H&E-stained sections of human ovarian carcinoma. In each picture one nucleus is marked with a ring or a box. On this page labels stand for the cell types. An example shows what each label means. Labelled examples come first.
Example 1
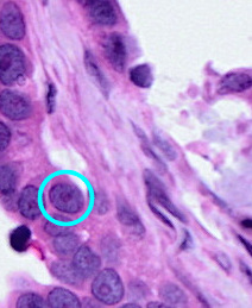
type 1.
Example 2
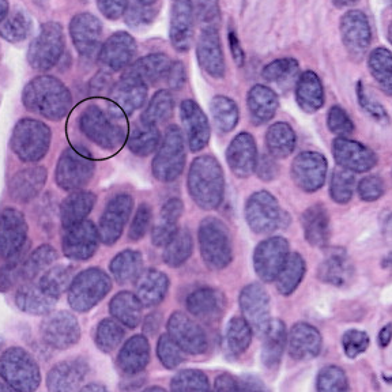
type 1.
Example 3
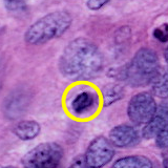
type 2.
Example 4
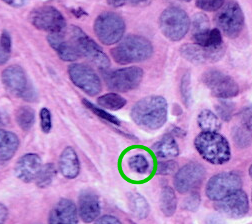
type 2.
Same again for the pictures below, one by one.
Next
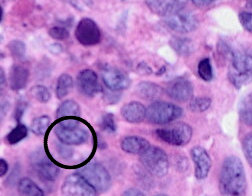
type 1.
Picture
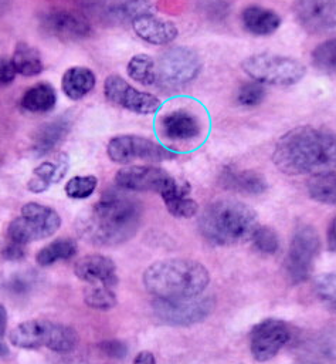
type 2.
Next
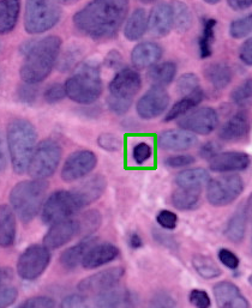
type 2.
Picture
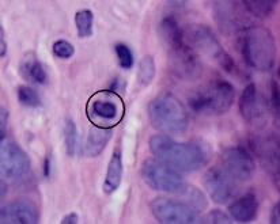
type 2.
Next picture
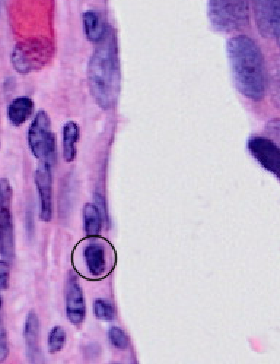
type 2.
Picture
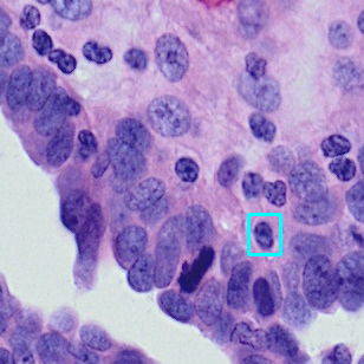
type 2.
